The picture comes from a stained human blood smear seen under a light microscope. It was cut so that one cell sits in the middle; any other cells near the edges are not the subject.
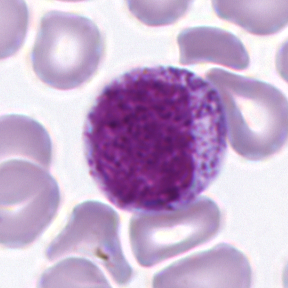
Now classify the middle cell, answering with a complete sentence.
The cell centered in this field of view is a myelocyte.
